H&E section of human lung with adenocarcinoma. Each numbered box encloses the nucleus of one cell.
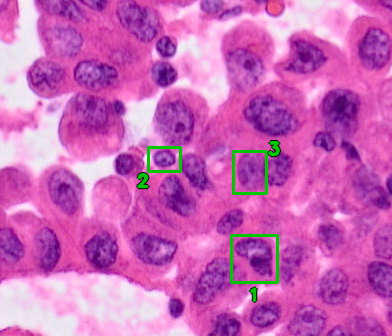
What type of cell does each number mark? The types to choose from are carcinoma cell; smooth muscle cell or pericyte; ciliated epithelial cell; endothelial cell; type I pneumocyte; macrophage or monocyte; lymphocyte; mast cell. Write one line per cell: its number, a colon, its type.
1: carcinoma cell
2: lymphocyte
3: carcinoma cell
